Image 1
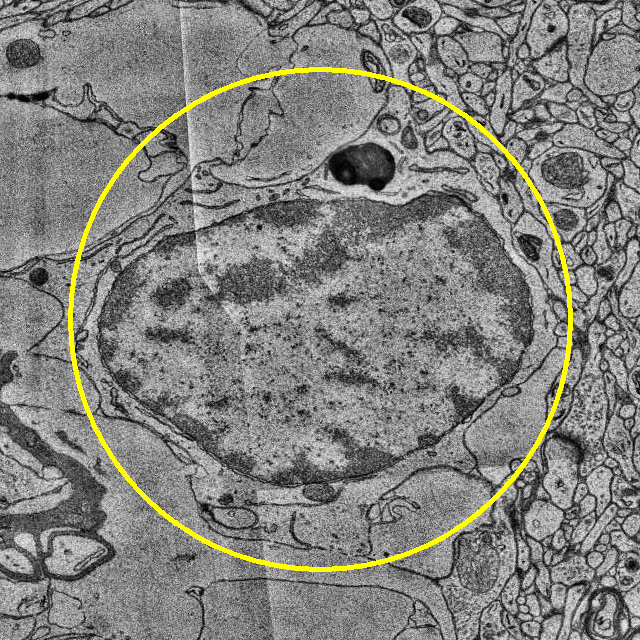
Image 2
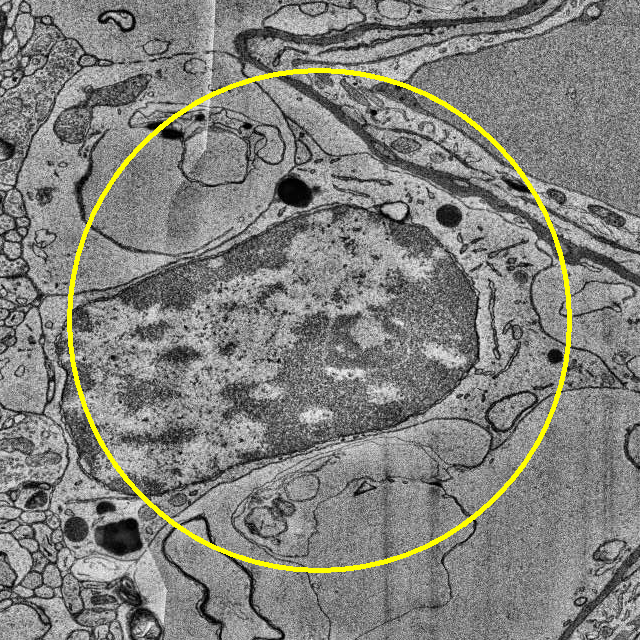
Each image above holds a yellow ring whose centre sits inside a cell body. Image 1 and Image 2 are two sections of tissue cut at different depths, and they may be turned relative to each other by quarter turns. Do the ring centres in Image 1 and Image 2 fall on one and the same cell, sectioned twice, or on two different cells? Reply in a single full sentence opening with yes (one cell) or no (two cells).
Yes, the same cell turns up inside each of the two rings.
